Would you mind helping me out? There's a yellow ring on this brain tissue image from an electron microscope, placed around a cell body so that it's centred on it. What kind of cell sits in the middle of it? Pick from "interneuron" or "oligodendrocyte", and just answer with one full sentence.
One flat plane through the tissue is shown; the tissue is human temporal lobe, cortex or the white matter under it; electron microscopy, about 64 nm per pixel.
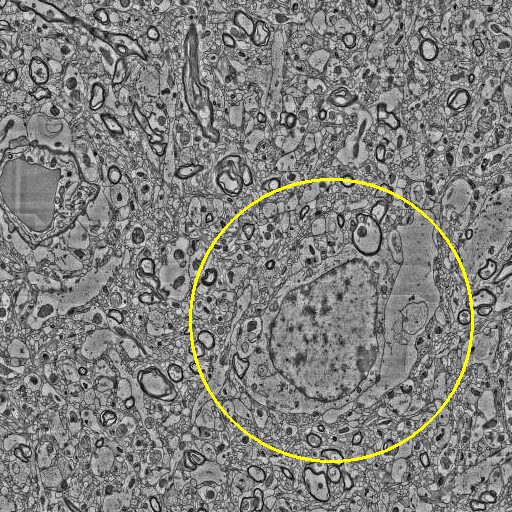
What sits in the middle of that yellow ring is an interneuron, from your choices.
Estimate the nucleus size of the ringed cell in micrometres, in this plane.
The ringed cell's nucleus is about 9 micrometres long and 7 micrometres wide in this plane.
